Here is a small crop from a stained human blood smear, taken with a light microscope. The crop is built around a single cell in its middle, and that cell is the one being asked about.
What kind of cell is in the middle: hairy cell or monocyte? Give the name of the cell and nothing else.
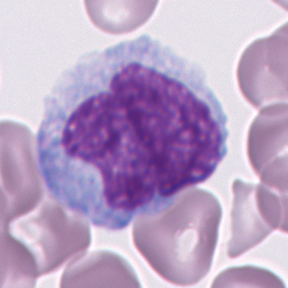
monocyte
